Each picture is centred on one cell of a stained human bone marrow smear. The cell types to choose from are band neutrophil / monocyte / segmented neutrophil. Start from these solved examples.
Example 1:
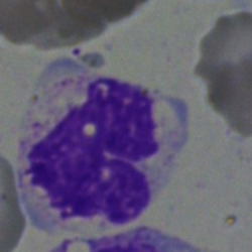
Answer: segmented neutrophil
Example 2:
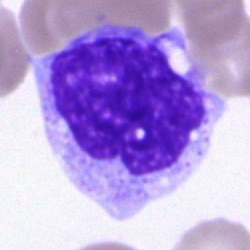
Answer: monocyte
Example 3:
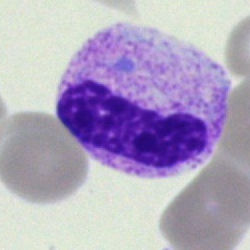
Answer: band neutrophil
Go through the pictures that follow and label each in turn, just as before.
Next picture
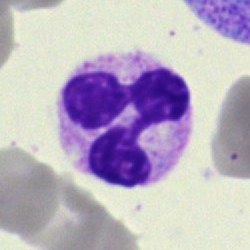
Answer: segmented neutrophil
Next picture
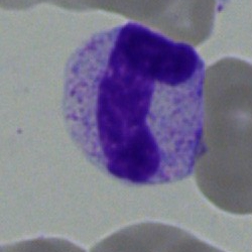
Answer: band neutrophil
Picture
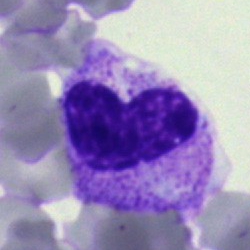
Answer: band neutrophil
